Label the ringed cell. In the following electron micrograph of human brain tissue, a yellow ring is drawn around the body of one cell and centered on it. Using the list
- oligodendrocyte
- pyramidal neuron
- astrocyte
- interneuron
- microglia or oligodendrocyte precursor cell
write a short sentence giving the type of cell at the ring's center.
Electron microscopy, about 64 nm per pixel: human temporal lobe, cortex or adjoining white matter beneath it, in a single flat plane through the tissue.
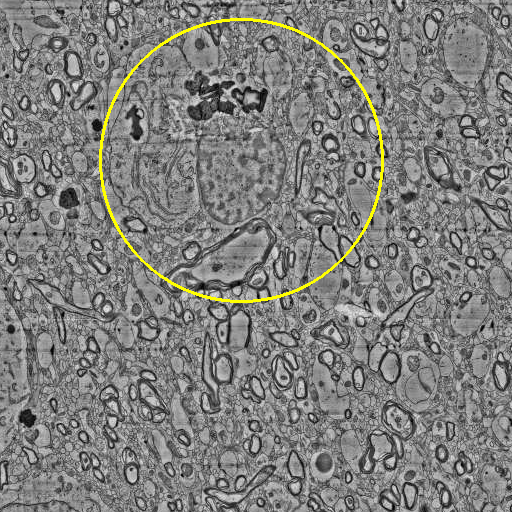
The cell body at the ring's center is that of an oligodendrocyte.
